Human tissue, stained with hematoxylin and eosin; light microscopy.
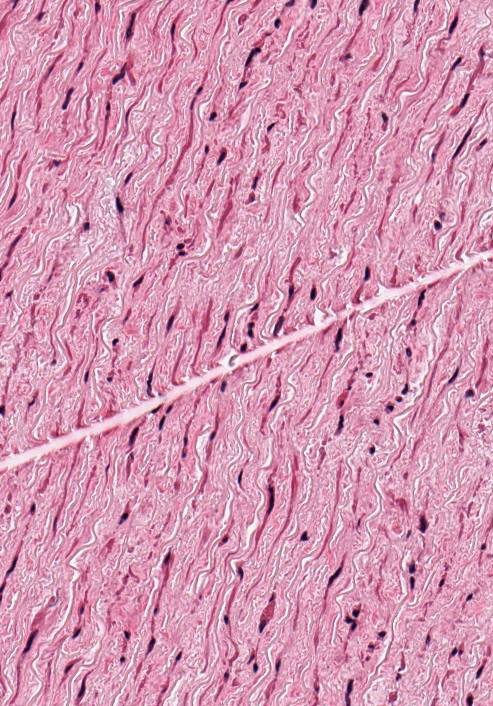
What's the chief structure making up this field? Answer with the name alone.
tunica media of an artery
